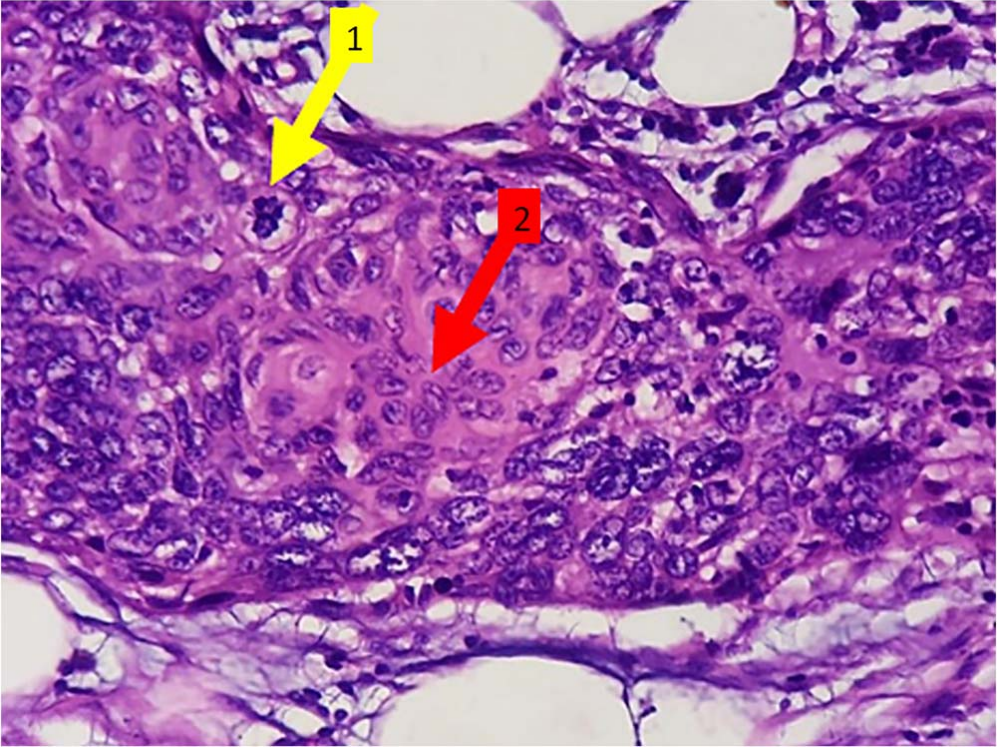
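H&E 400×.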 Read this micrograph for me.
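Solid nests of large polygonal squamous cells with pink cytoplasm lie between fat spaces and loose stroma. Their nuclei are large, crowded and vary in size and shape, some pale and vesicular and others dark, and a few show nucleoli. One cell holds a dark, clumped mitotic figure, and a central area of dense pink, whorled cytoplasm marks keratinization, as in malignant squamous cells.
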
